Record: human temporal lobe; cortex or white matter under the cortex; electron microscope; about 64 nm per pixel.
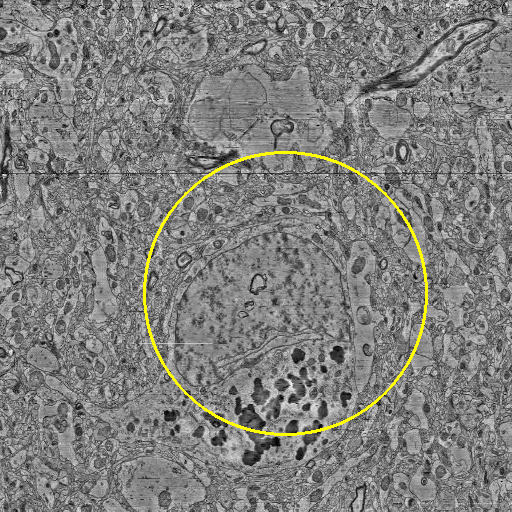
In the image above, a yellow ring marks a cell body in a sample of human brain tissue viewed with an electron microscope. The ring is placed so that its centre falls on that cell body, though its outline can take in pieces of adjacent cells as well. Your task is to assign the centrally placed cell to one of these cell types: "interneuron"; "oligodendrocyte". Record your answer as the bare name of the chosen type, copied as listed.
interneuron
